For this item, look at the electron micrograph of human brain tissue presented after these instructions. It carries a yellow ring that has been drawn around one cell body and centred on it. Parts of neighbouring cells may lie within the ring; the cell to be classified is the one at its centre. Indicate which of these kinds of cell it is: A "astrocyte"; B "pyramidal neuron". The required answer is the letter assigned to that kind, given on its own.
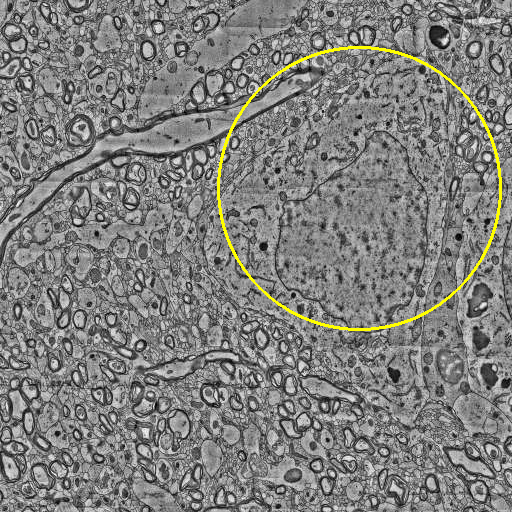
B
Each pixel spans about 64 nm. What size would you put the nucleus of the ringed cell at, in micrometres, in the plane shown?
In this plane, about 12 micrometres in length and 10 in width.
